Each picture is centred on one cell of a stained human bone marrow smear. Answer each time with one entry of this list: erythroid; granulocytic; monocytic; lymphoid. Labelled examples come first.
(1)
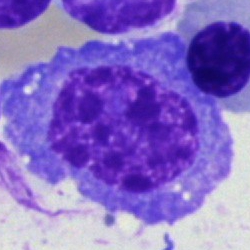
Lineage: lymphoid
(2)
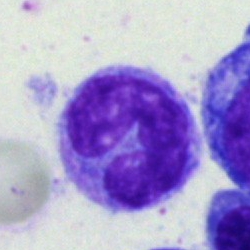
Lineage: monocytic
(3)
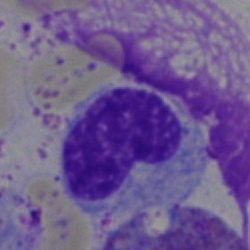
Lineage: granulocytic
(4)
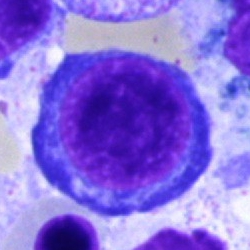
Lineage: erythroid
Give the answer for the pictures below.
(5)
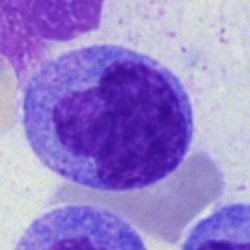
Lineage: monocytic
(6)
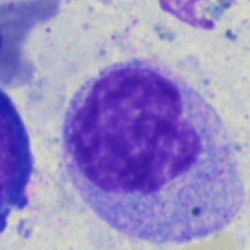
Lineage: monocytic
